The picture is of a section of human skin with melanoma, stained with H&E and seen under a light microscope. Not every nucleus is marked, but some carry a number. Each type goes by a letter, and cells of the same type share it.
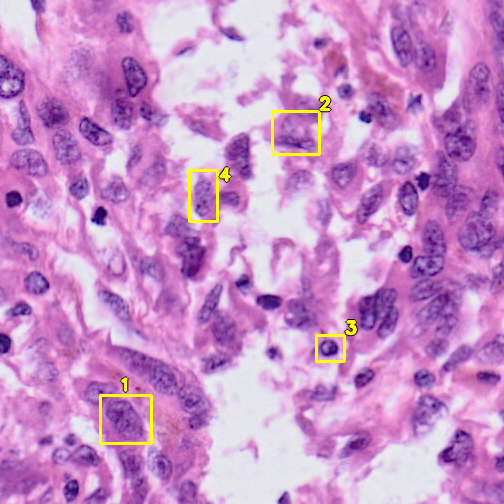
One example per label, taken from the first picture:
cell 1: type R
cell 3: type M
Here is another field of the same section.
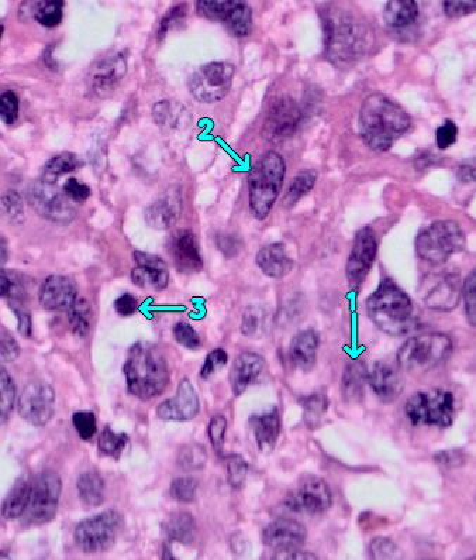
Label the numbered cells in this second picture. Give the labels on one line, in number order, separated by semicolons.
type R; type R; type M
